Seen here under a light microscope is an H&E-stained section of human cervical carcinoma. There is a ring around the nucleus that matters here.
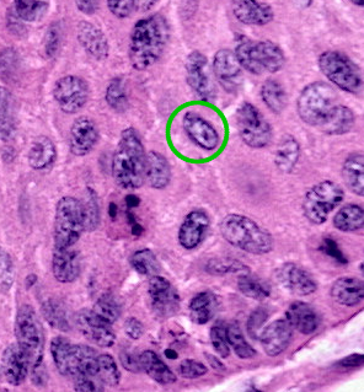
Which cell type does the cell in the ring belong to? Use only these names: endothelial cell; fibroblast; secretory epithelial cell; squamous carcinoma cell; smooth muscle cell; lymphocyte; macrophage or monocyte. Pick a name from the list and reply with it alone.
squamous carcinoma cell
